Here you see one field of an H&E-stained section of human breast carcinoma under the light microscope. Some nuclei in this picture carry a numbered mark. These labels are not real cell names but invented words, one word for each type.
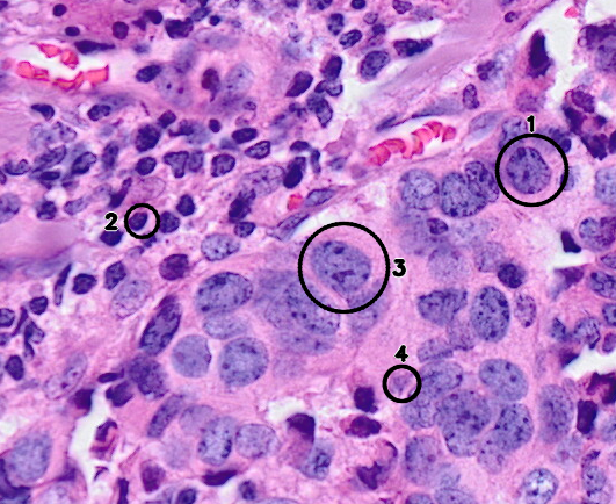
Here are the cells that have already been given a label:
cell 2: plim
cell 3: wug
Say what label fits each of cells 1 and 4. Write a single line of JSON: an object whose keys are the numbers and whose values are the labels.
{"1": "wug", "4": "wug"}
